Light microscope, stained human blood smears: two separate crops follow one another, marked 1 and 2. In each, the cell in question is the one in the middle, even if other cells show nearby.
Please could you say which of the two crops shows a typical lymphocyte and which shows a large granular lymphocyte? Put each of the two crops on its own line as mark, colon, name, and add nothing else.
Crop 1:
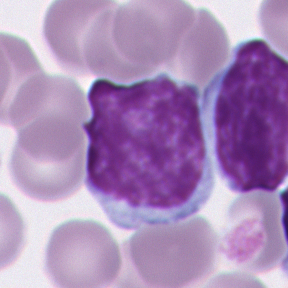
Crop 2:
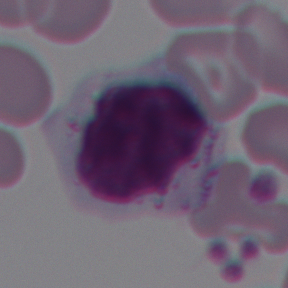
1: typical lymphocyte
2: large granular lymphocyte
